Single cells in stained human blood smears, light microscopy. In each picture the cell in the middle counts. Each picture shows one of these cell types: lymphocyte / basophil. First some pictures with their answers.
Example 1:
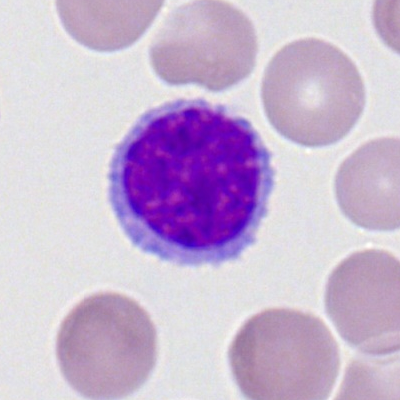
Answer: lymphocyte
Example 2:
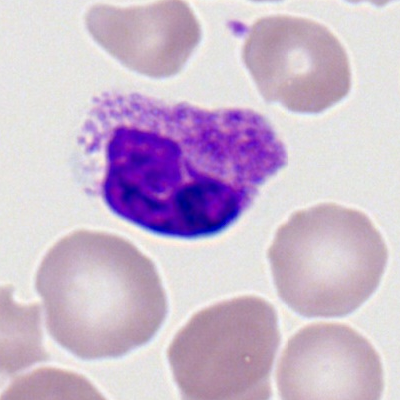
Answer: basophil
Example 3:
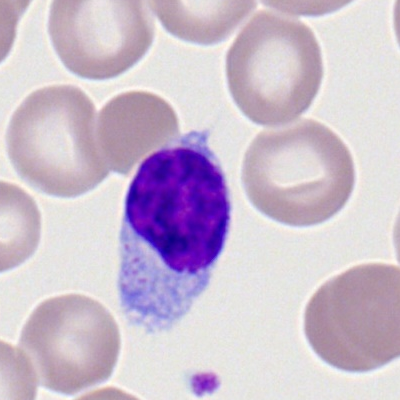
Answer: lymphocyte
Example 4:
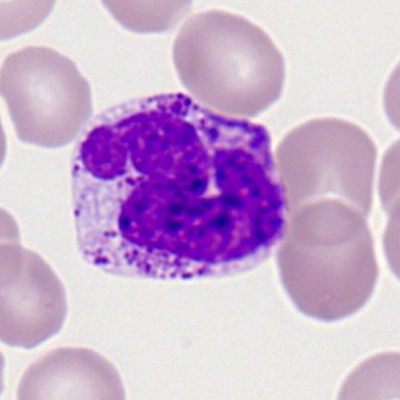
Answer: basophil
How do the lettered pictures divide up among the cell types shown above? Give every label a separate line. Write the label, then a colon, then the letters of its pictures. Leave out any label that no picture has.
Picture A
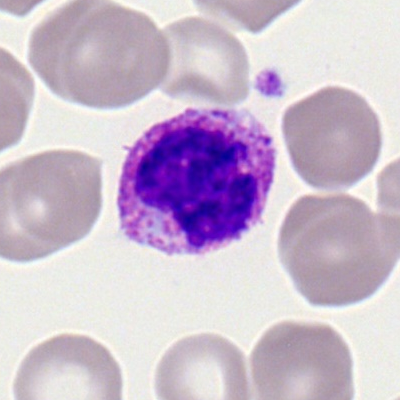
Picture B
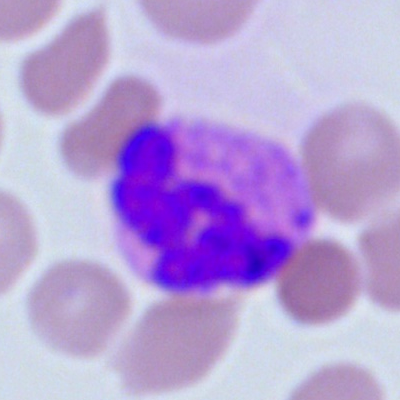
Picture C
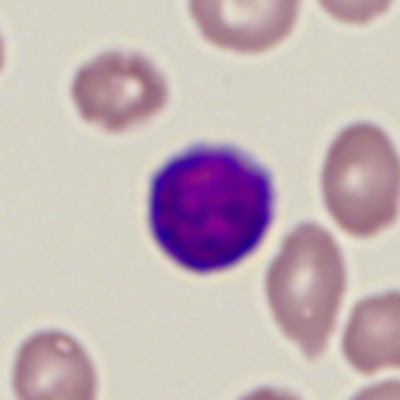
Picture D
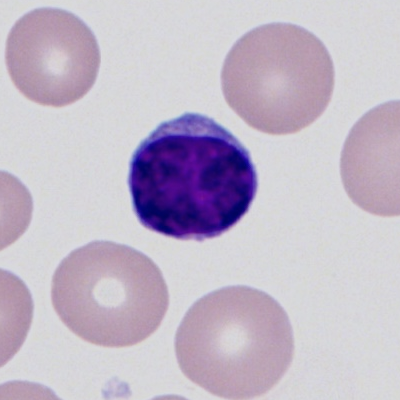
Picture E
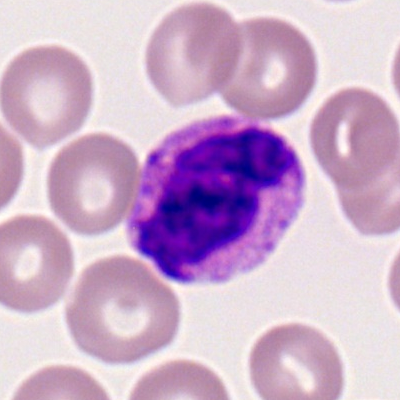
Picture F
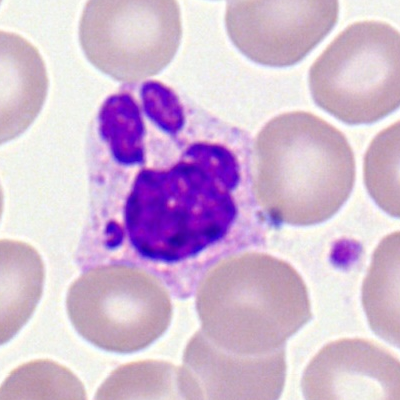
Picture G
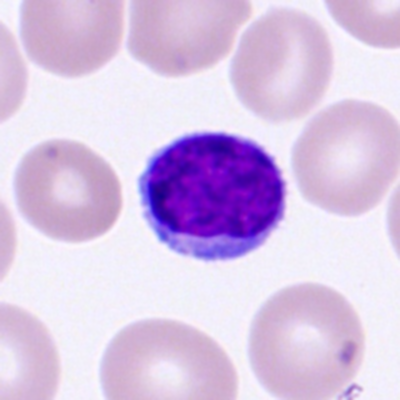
lymphocyte: C, D, G
basophil: A, B, E, F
